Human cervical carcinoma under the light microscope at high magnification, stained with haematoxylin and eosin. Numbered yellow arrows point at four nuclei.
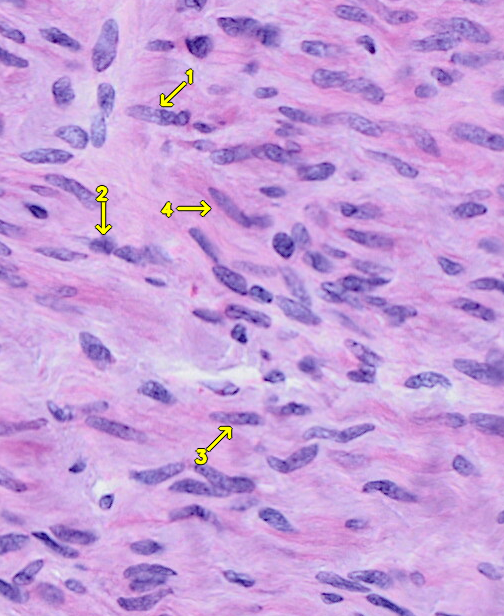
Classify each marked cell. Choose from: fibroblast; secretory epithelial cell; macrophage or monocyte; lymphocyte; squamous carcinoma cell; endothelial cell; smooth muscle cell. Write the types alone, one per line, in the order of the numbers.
smooth muscle cell
fibroblast
smooth muscle cell
smooth muscle cell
